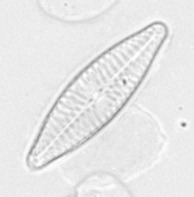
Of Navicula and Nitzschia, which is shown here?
Navicula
